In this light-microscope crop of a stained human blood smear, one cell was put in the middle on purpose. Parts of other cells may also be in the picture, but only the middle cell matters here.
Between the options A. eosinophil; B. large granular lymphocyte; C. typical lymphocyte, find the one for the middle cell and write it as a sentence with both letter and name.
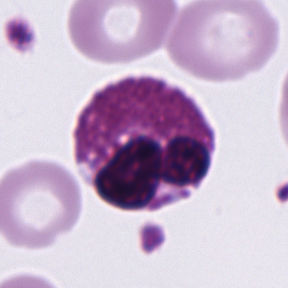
The cell in the middle is an eosinophil, so option A is correct.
